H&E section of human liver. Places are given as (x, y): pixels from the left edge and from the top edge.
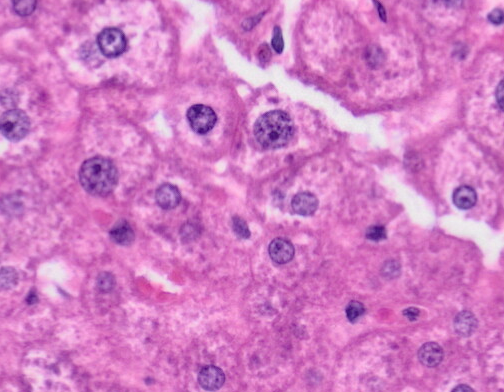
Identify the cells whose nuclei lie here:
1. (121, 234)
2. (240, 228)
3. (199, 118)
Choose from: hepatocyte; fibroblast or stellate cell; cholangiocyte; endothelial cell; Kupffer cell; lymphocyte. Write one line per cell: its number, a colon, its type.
1: endothelial cell
2: endothelial cell
3: hepatocyte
